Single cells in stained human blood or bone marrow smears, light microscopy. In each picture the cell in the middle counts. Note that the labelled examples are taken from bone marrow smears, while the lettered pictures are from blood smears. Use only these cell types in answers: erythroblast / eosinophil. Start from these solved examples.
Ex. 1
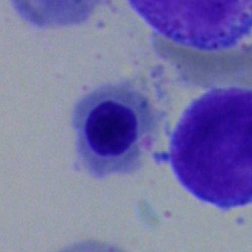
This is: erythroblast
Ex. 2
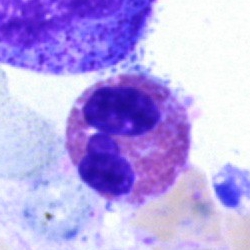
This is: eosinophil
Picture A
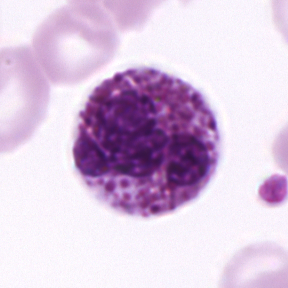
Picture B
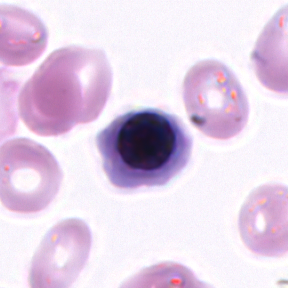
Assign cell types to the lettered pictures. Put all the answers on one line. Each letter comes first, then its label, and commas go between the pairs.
A eosinophil, B erythroblast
